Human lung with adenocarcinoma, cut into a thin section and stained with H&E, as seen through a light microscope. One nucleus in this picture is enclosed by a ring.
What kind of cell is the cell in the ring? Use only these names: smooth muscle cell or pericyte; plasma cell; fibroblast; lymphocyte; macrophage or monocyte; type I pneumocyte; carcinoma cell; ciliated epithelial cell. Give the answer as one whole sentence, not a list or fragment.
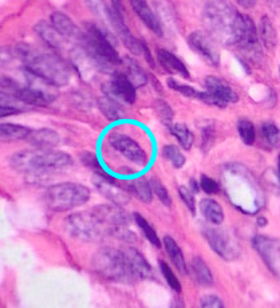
What the cell in the ring represents is a ciliated epithelial cell.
